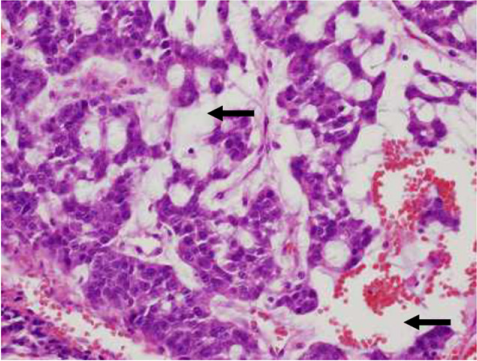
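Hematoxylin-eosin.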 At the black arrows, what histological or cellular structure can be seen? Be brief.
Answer: extracellular mucin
